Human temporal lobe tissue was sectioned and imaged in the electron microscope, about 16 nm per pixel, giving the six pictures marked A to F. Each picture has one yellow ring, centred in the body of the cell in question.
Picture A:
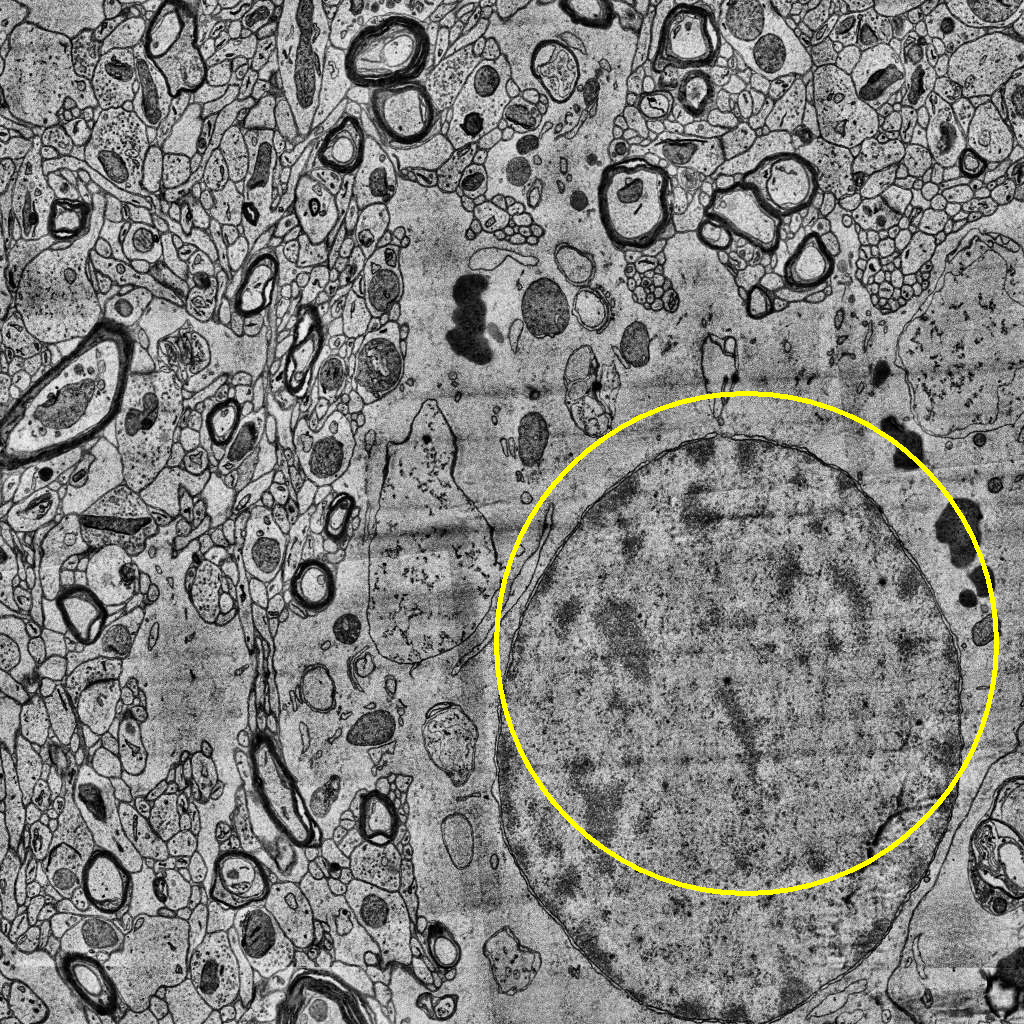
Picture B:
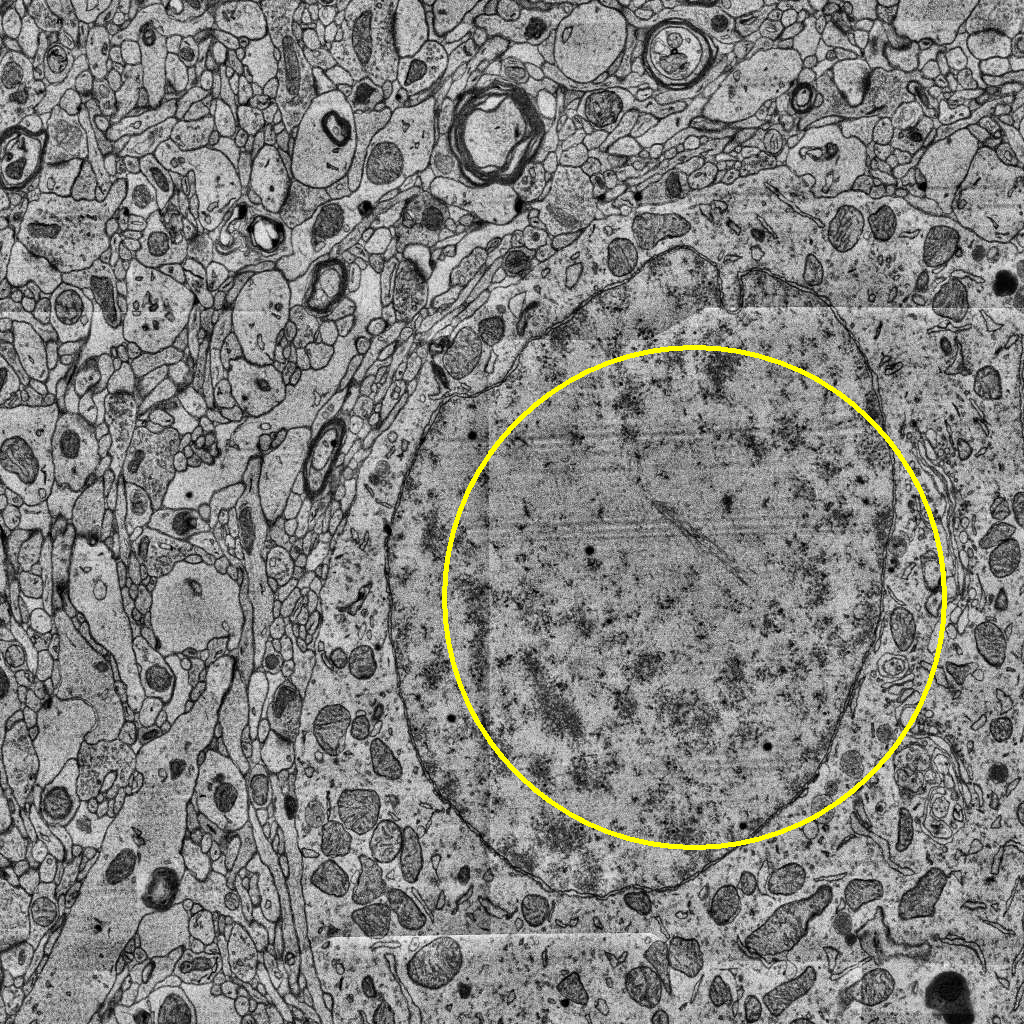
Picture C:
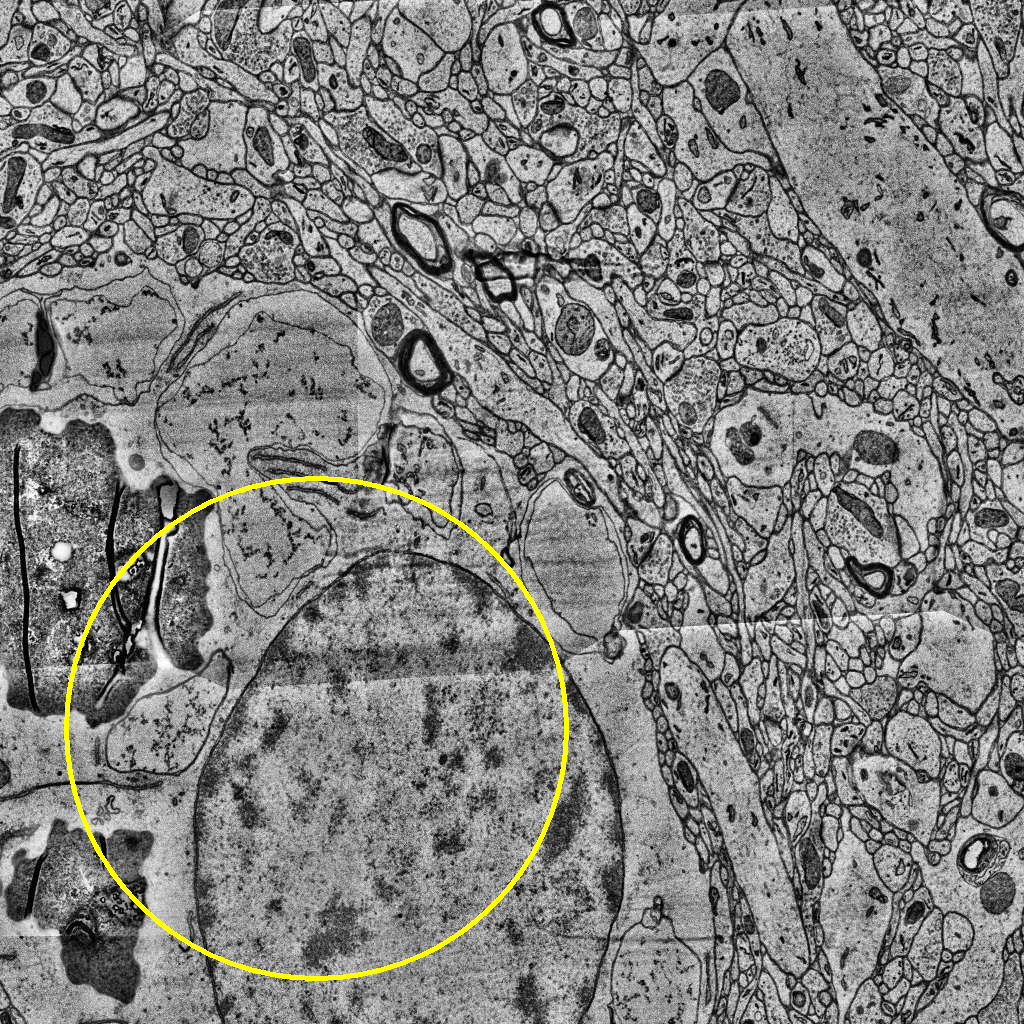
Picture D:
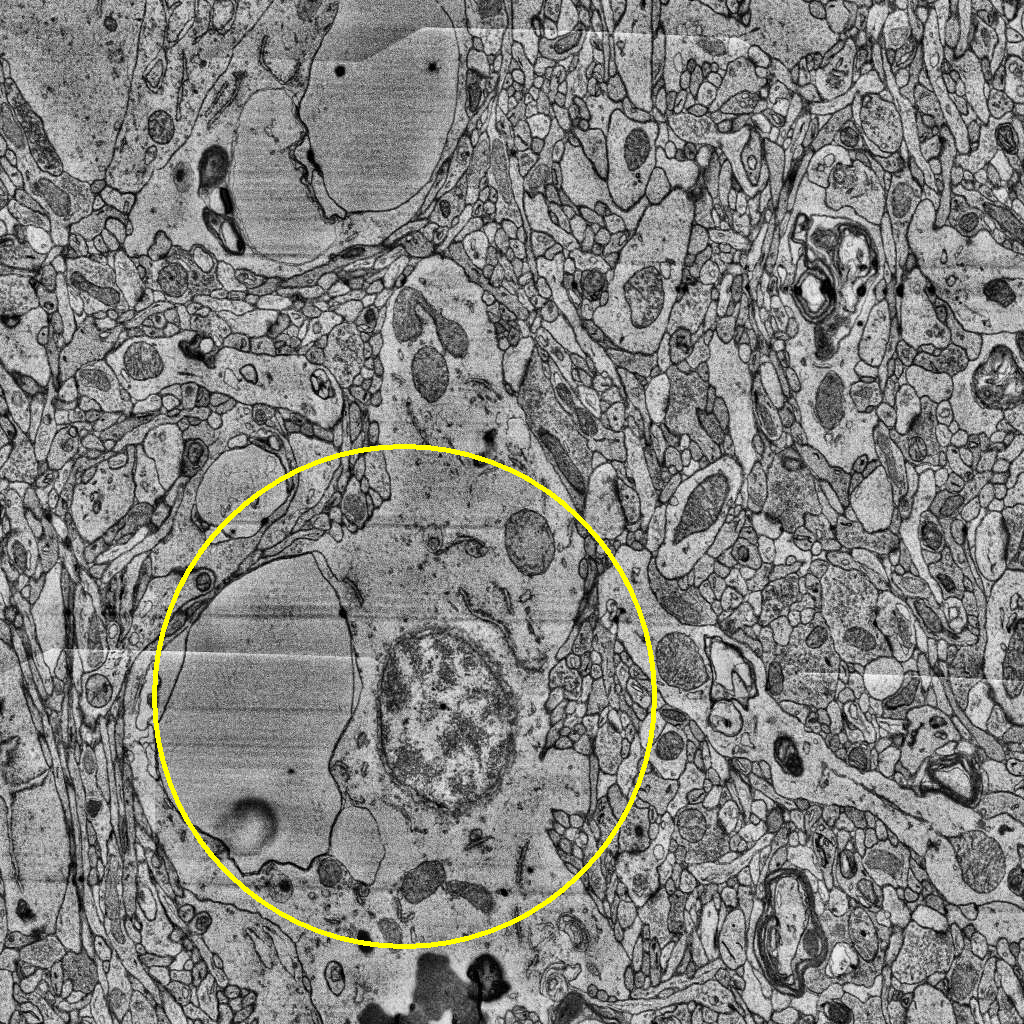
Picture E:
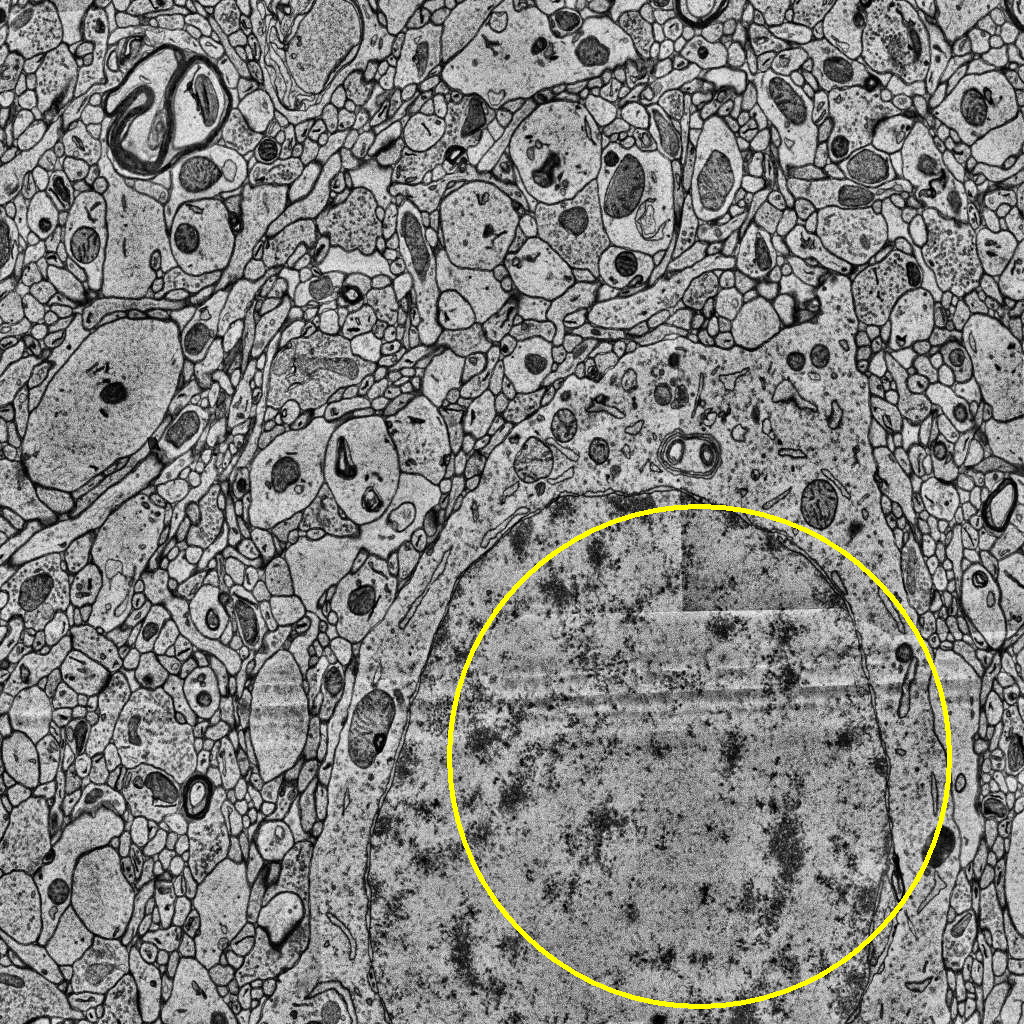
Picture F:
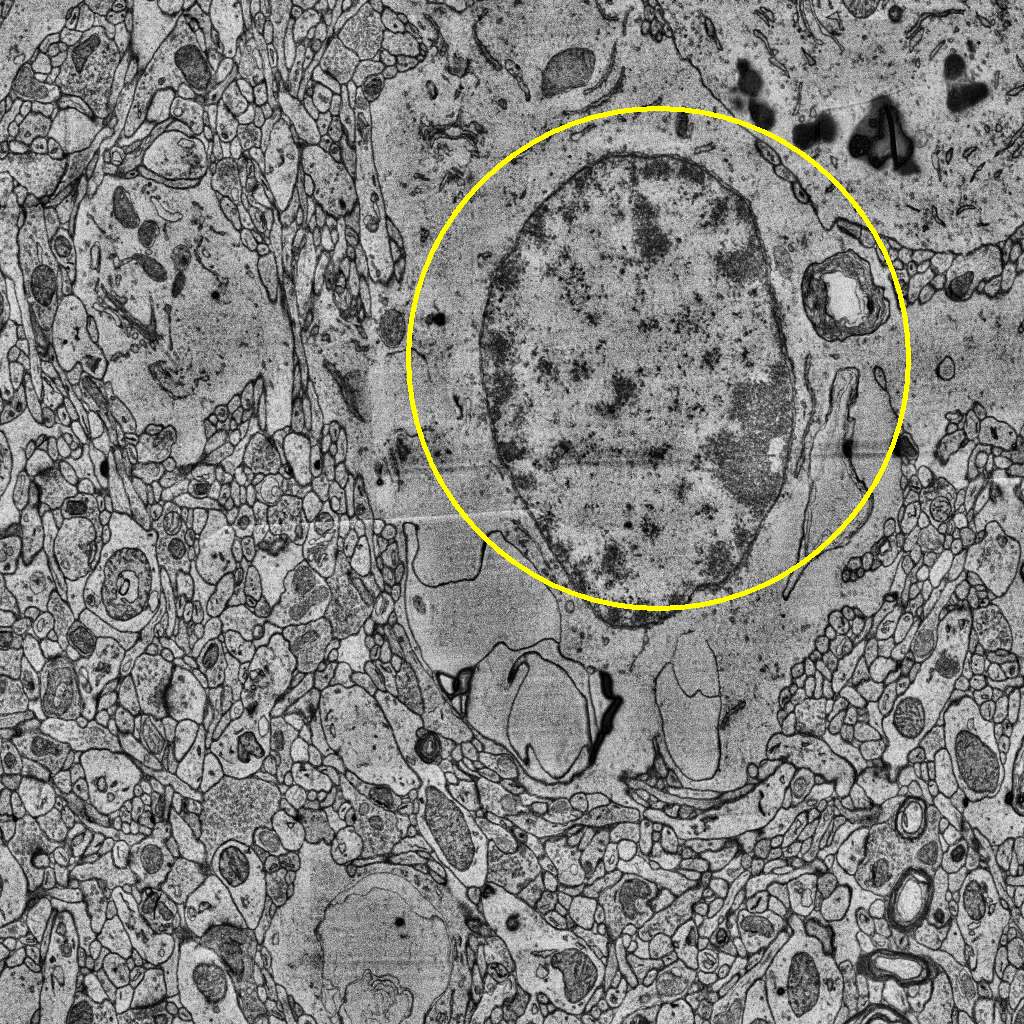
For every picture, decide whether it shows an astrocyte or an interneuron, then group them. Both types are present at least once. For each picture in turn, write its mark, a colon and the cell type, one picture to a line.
A: astrocyte
B: interneuron
C: astrocyte
D: astrocyte
E: interneuron
F: astrocyte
